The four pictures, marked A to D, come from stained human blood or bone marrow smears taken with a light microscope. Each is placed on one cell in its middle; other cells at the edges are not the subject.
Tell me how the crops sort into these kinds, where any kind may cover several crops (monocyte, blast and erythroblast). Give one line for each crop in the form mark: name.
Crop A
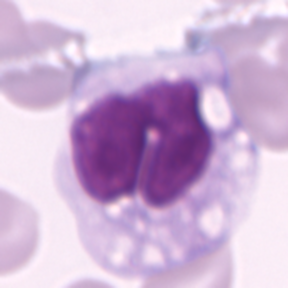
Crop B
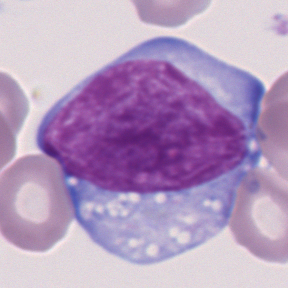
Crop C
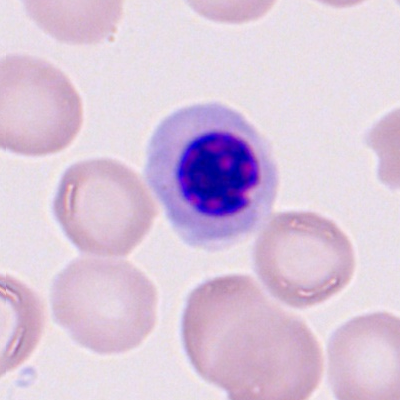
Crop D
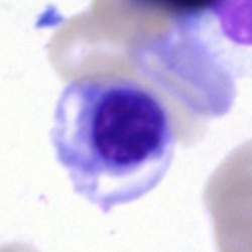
A: monocyte
B: blast
C: erythroblast
D: erythroblast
